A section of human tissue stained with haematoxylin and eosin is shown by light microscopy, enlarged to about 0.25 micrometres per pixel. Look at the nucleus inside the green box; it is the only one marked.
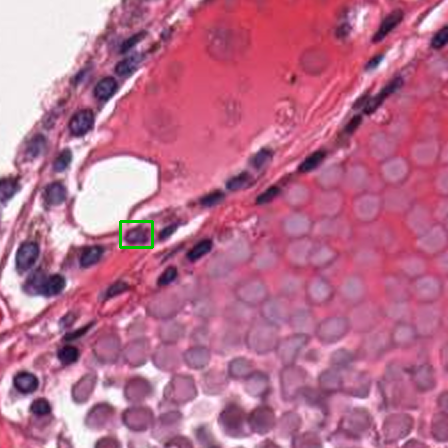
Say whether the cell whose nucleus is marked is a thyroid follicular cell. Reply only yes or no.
yes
